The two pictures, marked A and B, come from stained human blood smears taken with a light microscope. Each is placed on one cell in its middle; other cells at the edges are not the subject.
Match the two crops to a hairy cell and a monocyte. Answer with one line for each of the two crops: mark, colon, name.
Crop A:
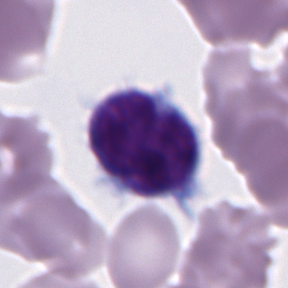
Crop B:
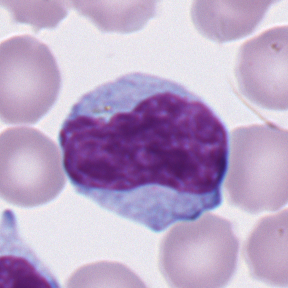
A: hairy cell
B: monocyte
